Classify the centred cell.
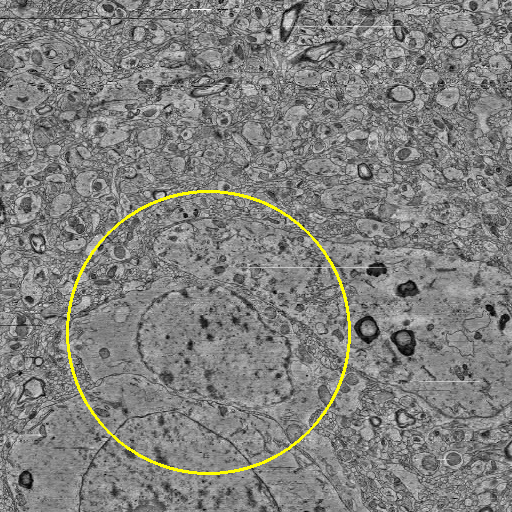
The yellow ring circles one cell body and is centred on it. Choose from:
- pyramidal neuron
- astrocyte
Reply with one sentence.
The ring is centred on an astrocyte.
